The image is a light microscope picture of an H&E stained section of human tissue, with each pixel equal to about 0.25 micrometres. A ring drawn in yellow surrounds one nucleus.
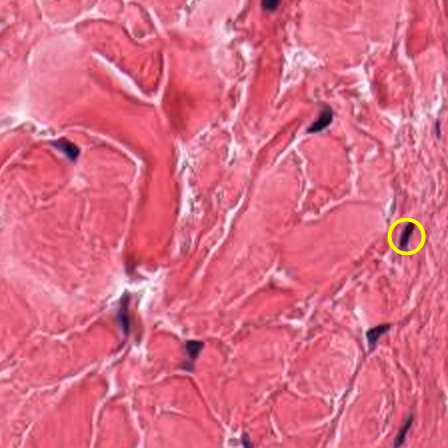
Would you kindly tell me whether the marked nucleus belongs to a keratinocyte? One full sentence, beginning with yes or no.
No, what carries the marked nucleus is a supporting cell rather than a keratinocyte.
